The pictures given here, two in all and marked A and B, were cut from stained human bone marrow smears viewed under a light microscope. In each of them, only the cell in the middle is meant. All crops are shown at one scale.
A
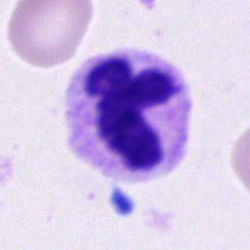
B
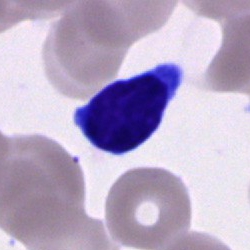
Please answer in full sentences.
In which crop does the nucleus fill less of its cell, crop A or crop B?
The nucleus fills less of the cell in crop A than in crop B.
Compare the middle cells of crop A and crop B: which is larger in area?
It is the cell in crop A, about 2 times as large in area as the cell in crop B.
